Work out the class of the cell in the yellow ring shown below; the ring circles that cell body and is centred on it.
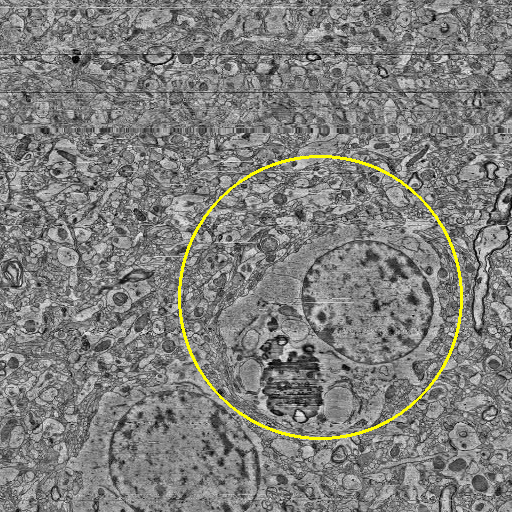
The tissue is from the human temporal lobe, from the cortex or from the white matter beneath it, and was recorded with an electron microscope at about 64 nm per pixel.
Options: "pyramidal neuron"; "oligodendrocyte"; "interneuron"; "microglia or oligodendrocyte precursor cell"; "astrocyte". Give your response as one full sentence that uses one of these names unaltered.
The body ringed in yellow, right at the ring's centre, is that of an astrocyte.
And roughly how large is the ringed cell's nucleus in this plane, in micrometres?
Roughly 8 micrometres across for the nucleus, in this plane.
